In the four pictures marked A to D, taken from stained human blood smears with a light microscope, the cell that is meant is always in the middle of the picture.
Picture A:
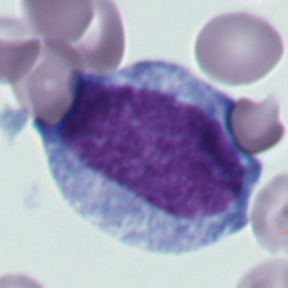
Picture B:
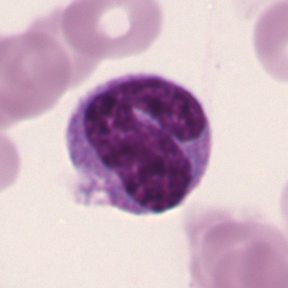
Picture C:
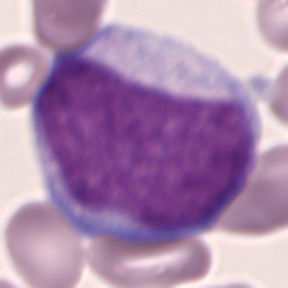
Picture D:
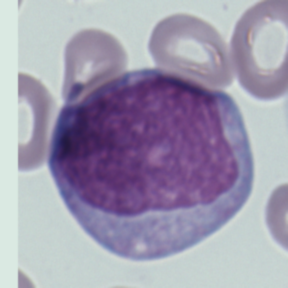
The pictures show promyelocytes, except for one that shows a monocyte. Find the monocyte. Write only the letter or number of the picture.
B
